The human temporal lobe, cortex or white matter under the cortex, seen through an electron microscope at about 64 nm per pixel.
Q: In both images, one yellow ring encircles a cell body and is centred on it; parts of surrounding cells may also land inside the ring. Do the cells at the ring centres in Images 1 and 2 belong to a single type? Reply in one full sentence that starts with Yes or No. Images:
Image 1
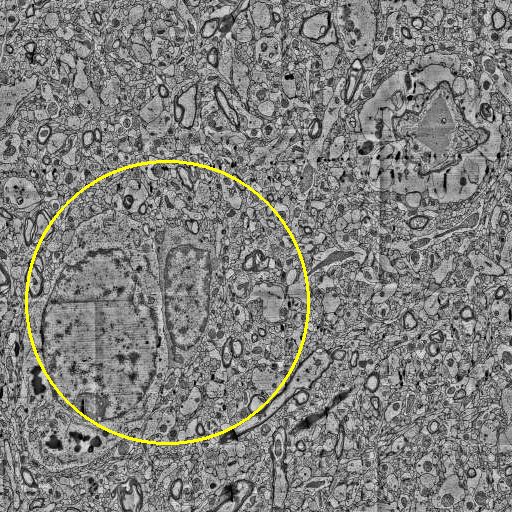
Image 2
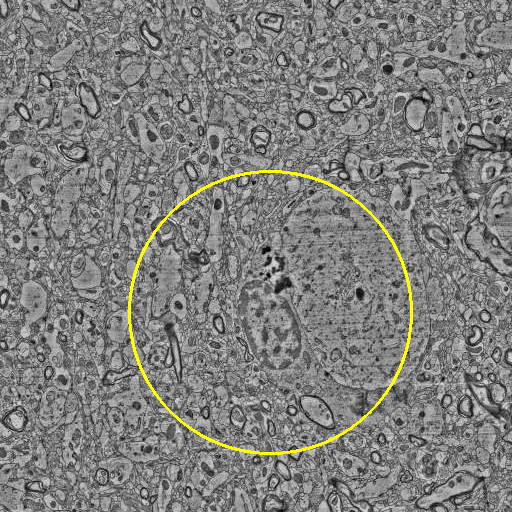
Yes, the cells at the ring centres in Images 1 and 2 are of a single type.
